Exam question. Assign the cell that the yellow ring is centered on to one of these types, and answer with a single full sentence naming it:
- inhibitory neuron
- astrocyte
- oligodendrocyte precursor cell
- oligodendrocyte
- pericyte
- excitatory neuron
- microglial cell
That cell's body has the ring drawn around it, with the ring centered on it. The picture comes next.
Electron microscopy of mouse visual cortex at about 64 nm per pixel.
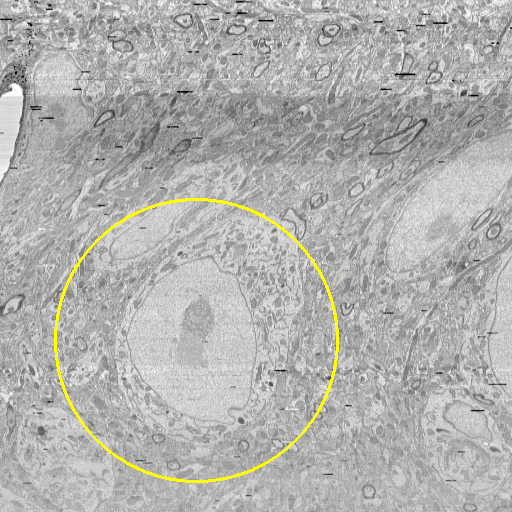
In the micrograph, the cell the yellow ring is centered on is an inhibitory neuron.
